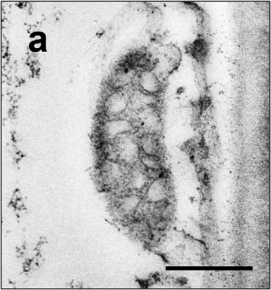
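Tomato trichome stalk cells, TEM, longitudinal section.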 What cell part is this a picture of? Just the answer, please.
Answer: Mitochondria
